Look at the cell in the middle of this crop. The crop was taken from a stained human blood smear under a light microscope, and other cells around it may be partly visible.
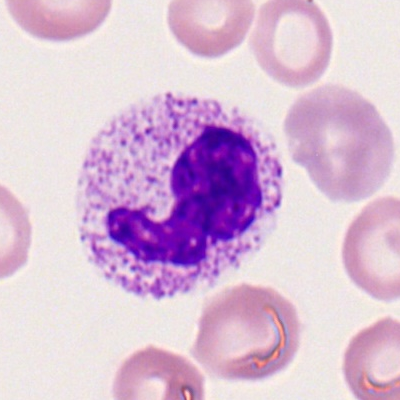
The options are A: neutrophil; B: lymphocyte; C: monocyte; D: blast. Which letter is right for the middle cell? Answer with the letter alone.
A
